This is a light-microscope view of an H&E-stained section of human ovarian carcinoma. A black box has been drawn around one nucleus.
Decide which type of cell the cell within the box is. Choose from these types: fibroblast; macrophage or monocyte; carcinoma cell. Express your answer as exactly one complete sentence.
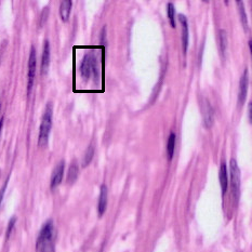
At the level of cell identity, the cell within the box is a fibroblast.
